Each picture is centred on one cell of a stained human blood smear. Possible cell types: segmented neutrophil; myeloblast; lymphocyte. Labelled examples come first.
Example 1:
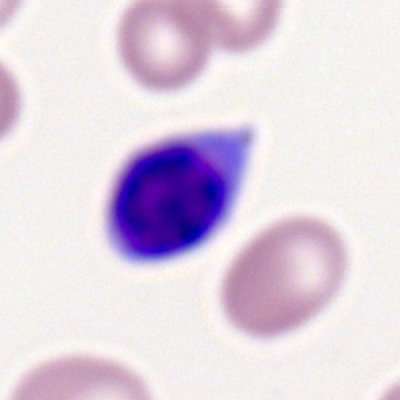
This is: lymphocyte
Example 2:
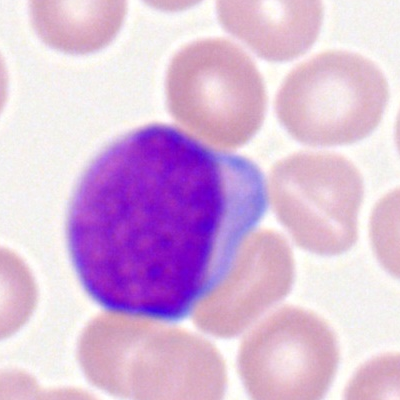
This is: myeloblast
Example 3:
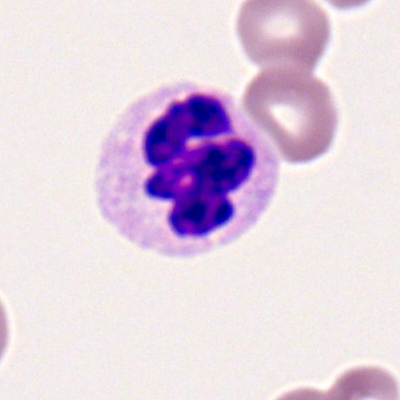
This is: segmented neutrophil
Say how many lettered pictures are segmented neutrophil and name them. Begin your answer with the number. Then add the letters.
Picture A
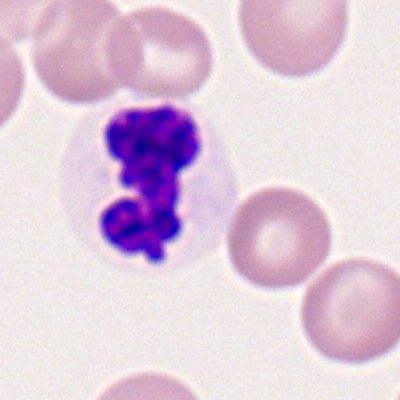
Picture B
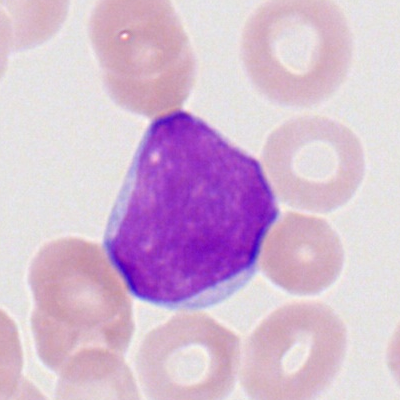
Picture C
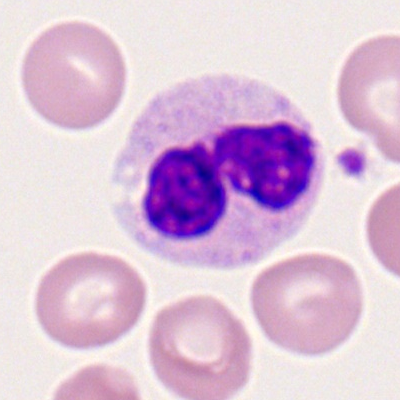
2, namely A, C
